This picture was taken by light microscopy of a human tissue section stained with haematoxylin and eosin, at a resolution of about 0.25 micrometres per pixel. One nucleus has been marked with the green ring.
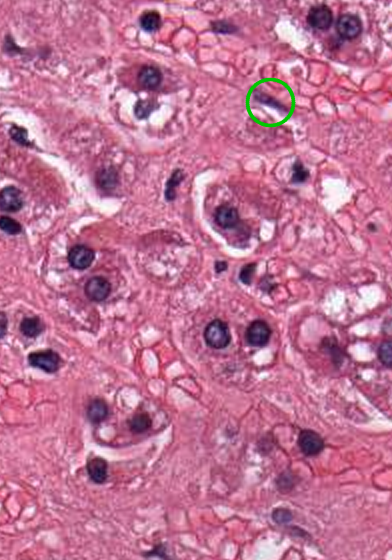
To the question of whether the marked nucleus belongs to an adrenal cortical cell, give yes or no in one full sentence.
No, the marked nucleus is the nucleus of a supporting cell rather than of an adrenal cortical cell.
